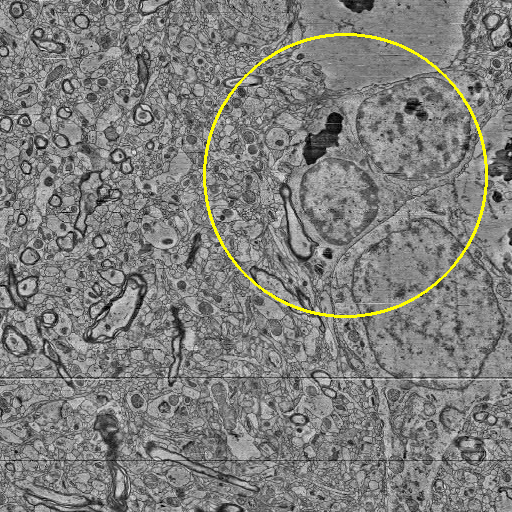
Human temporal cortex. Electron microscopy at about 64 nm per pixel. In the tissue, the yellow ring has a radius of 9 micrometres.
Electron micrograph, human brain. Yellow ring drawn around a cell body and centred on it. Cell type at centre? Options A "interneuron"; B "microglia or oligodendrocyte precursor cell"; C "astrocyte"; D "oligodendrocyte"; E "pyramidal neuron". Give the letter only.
D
